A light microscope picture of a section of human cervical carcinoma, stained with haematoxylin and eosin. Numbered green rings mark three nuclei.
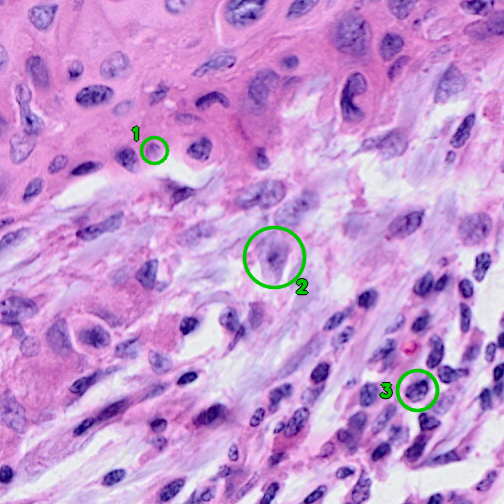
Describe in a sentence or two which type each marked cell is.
Cell 1 is a squamous carcinoma cell, cell 2 is a fibroblast and cell 3 is a lymphocyte.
